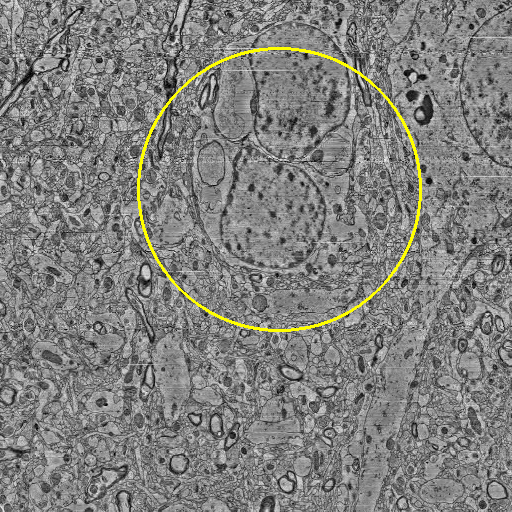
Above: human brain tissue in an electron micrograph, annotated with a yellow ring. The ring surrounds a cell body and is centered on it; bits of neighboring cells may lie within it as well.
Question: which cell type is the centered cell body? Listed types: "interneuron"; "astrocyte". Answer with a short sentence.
The centered cell body is an astrocyte.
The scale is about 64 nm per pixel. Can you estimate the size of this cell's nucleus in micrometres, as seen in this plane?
Roughly 7 micrometers across, in this plane.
